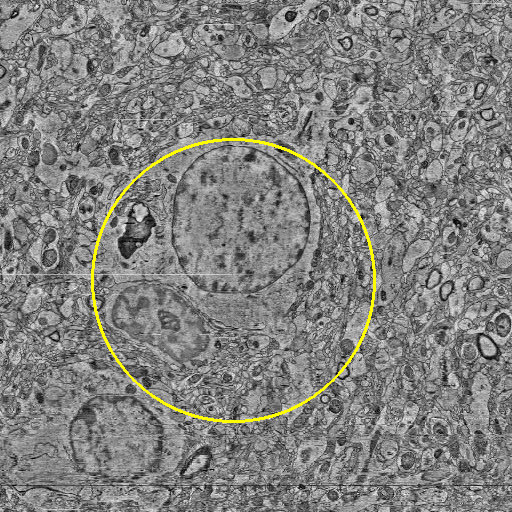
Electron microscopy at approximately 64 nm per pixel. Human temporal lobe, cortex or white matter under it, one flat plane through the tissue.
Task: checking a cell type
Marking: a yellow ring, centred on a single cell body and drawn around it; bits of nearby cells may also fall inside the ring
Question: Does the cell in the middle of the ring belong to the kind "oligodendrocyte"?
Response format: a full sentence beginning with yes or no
No, the cell marked at the ring's centre in the picture is of a different kind.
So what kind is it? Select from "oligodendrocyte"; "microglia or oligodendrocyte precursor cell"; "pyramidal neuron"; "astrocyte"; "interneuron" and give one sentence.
Instead, the ringed cell here is an astrocyte.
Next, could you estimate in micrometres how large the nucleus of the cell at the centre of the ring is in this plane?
The nucleus measures about 9 micrometers across in this plane.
